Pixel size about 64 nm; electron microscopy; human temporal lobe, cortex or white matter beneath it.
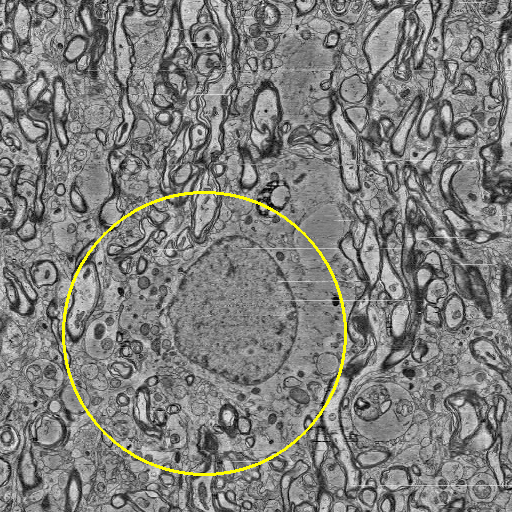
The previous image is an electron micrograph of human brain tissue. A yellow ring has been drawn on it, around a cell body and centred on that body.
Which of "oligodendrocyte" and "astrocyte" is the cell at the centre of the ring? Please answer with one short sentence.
The cell body at the centre of the ring belongs to an astrocyte.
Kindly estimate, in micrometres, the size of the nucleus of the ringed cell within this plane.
In this plane, roughly 10 by 8 micrometres.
